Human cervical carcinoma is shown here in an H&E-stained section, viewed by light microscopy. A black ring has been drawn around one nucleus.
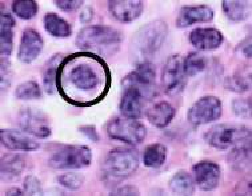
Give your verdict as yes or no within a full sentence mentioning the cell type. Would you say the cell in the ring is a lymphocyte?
Yes, the cell in the ring is properly regarded as a lymphocyte.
